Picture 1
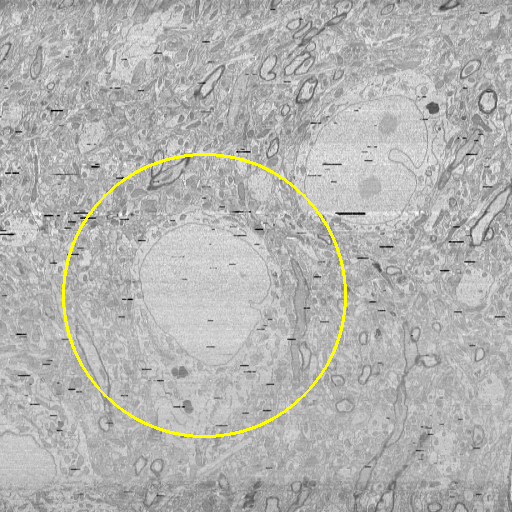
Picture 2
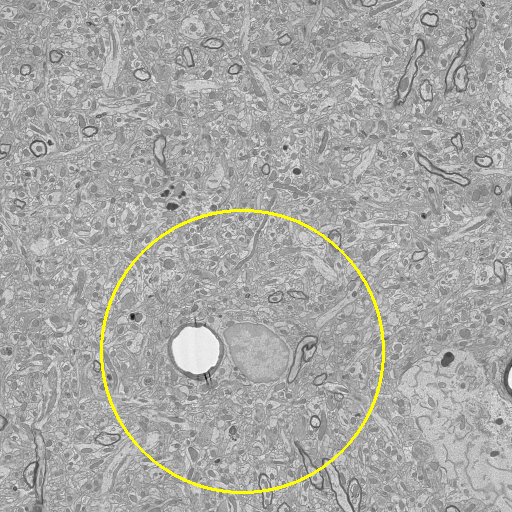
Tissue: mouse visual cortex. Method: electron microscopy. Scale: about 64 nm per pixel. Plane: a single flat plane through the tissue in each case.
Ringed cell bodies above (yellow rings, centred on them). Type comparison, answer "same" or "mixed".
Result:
mixed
